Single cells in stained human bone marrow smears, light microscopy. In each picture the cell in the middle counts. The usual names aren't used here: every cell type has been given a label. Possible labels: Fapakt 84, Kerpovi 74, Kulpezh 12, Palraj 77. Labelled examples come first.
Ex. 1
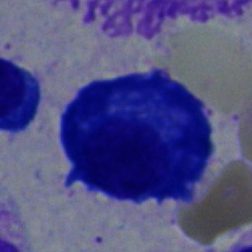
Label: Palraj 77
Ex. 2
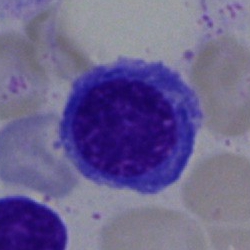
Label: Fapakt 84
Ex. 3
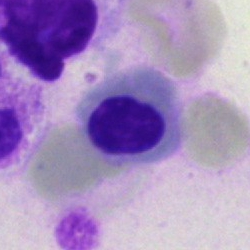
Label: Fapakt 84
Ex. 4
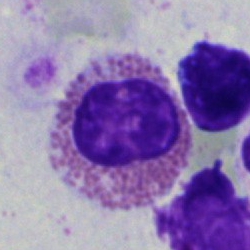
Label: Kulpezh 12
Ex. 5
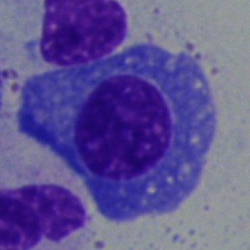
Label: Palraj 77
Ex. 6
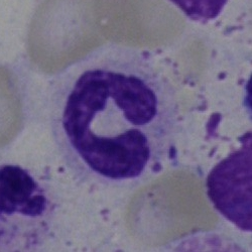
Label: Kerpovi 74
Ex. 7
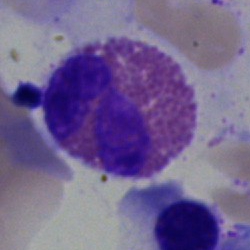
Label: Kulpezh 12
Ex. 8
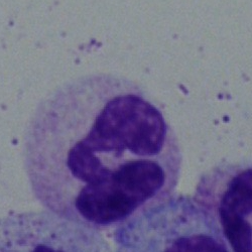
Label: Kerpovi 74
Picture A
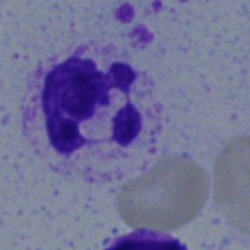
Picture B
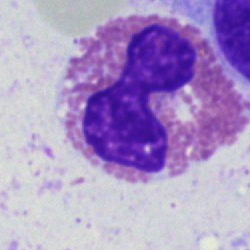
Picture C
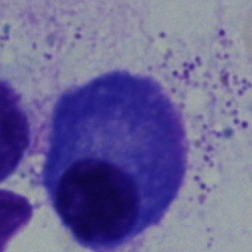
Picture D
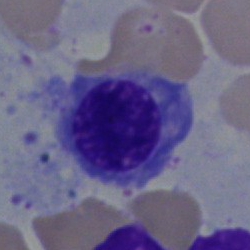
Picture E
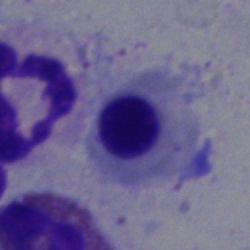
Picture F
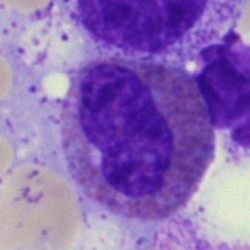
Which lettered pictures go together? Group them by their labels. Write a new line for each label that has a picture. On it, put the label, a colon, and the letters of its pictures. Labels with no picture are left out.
Fapakt 84: D, E
Kerpovi 74: A
Kulpezh 12: B, F
Palraj 77: C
